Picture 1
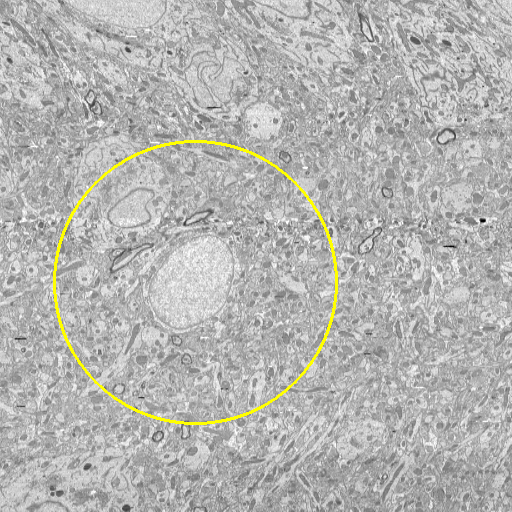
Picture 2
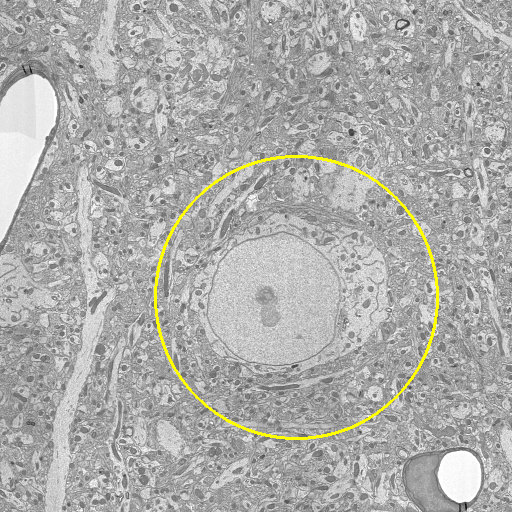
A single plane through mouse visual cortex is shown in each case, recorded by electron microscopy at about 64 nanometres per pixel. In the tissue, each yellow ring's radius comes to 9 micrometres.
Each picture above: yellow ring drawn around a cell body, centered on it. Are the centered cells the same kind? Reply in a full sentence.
No, the two cells are two kinds of cell.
